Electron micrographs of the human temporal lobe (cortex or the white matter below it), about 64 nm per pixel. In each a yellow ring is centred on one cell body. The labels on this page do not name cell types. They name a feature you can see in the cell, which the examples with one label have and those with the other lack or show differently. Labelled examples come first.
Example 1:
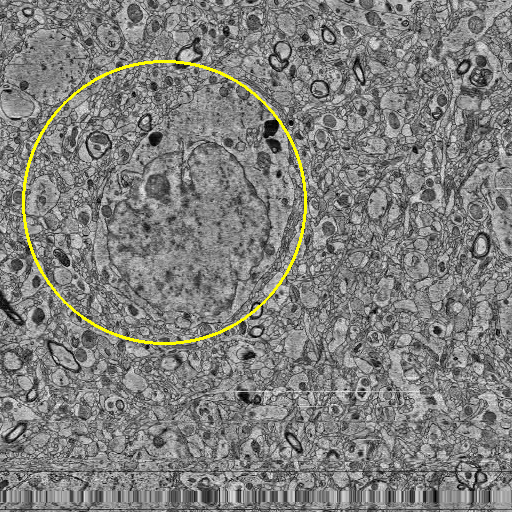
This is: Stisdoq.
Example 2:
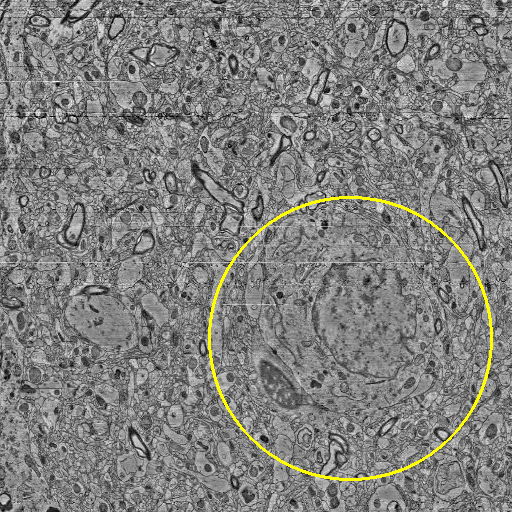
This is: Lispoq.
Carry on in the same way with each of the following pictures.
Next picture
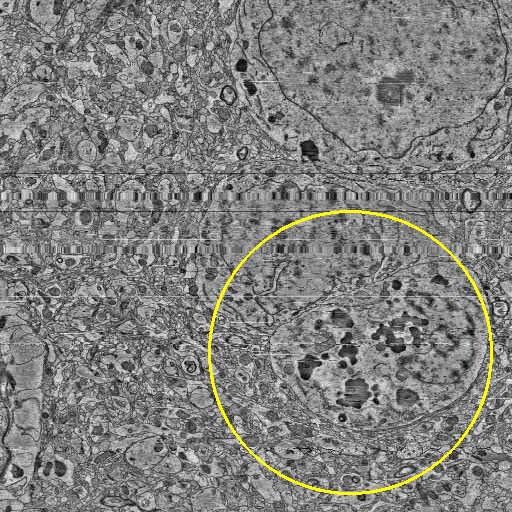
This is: Lispoq.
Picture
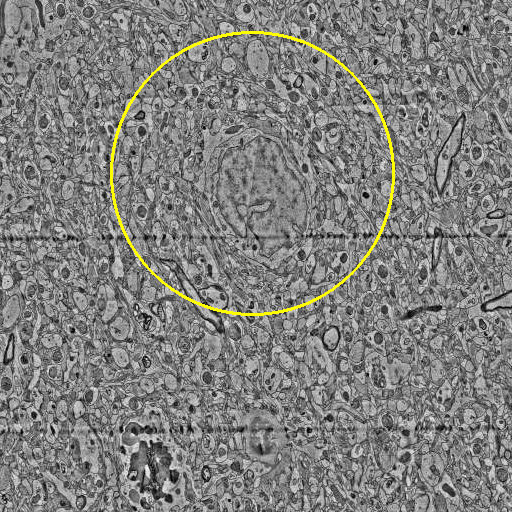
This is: Stisdoq.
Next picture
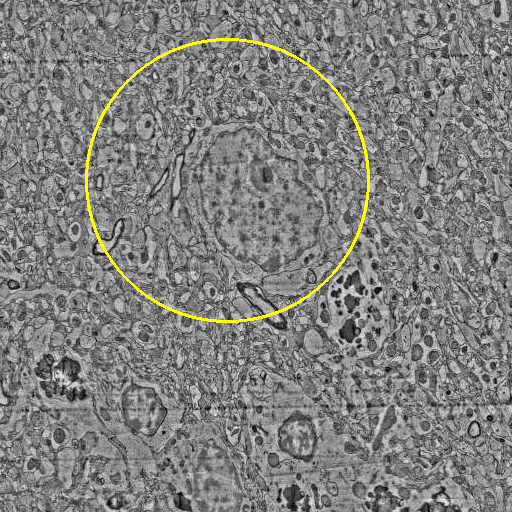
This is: Lispoq.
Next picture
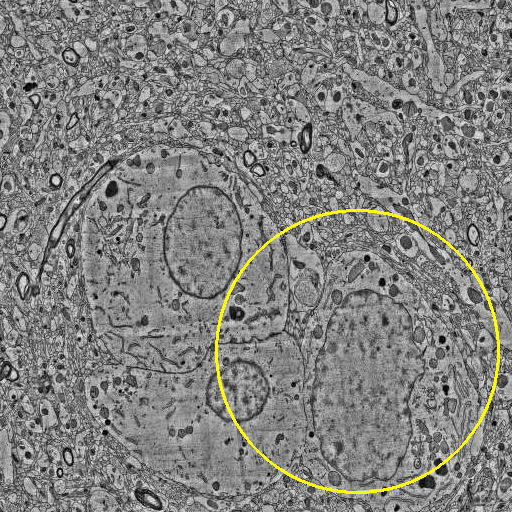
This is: Lispoq.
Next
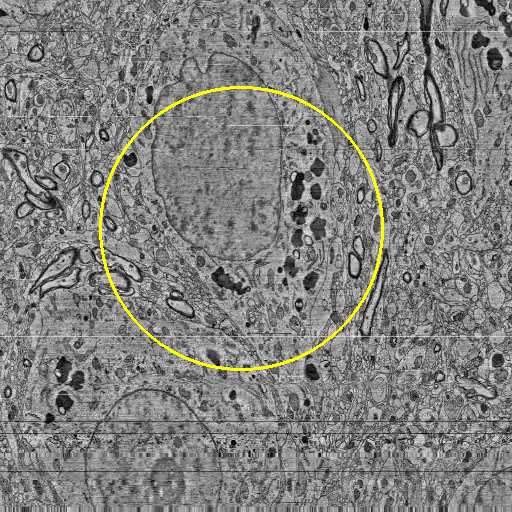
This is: Lispoq.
